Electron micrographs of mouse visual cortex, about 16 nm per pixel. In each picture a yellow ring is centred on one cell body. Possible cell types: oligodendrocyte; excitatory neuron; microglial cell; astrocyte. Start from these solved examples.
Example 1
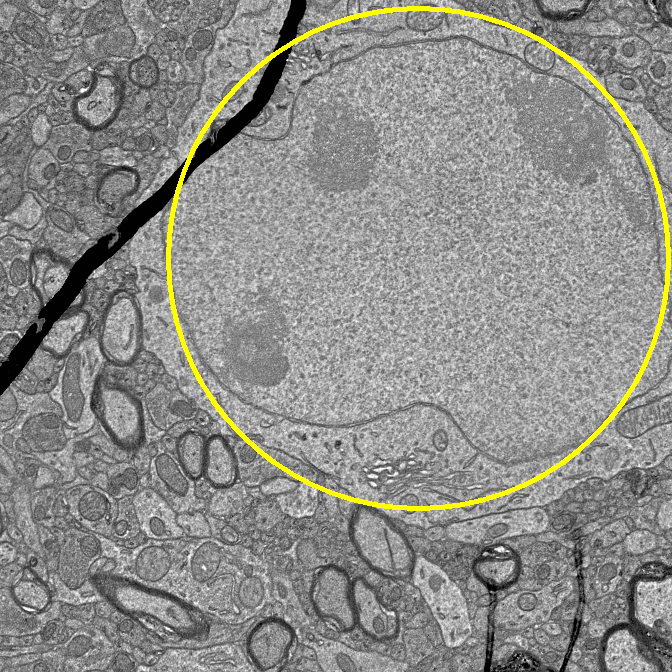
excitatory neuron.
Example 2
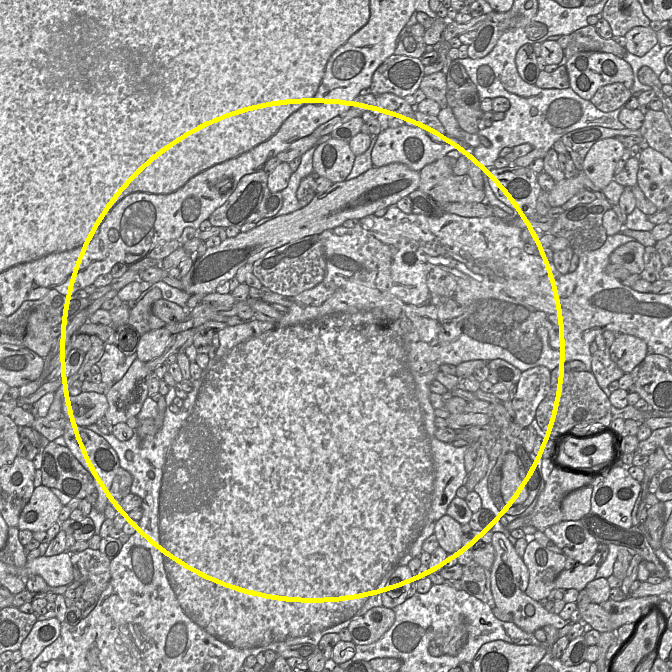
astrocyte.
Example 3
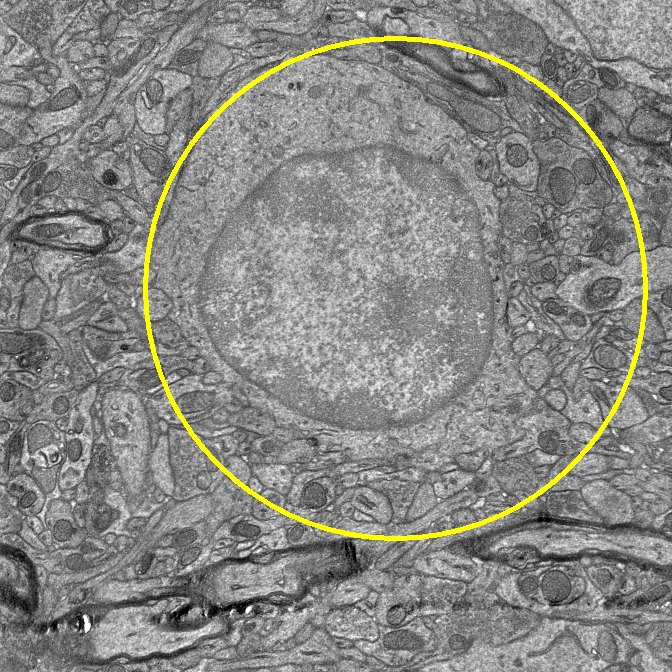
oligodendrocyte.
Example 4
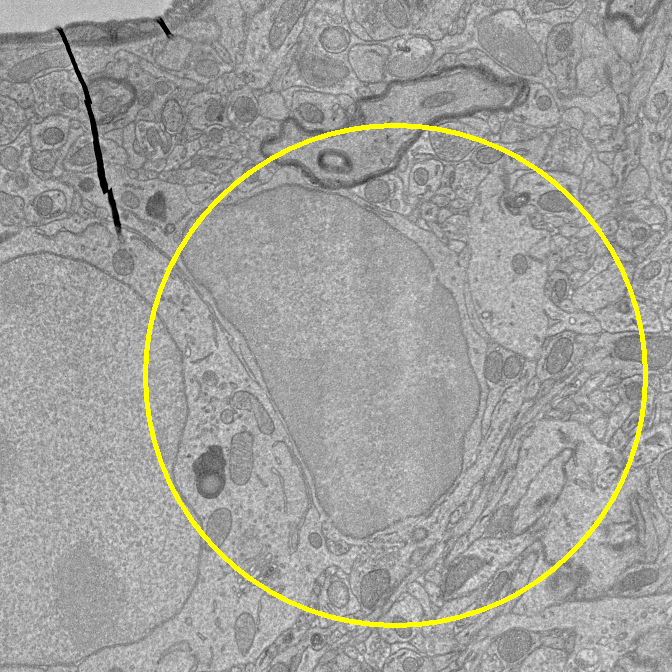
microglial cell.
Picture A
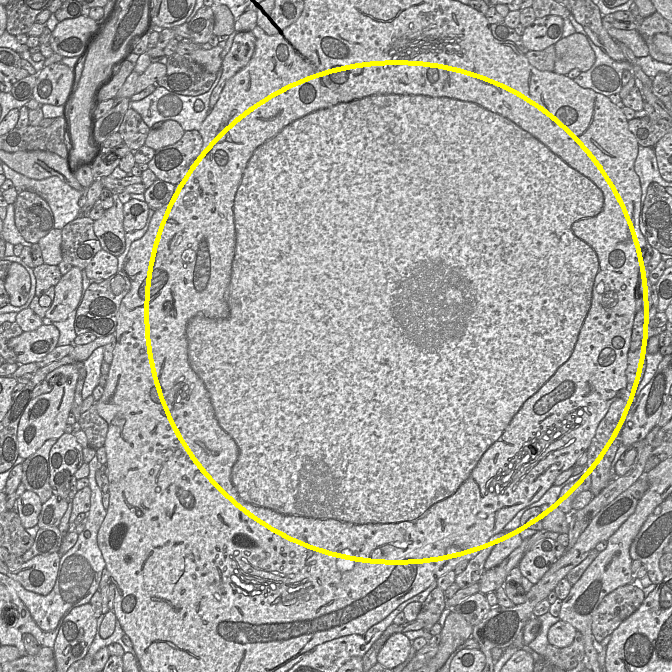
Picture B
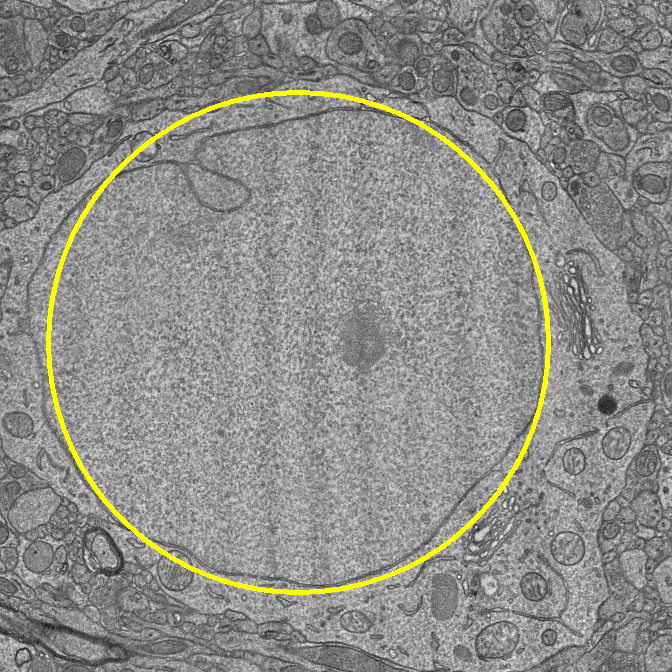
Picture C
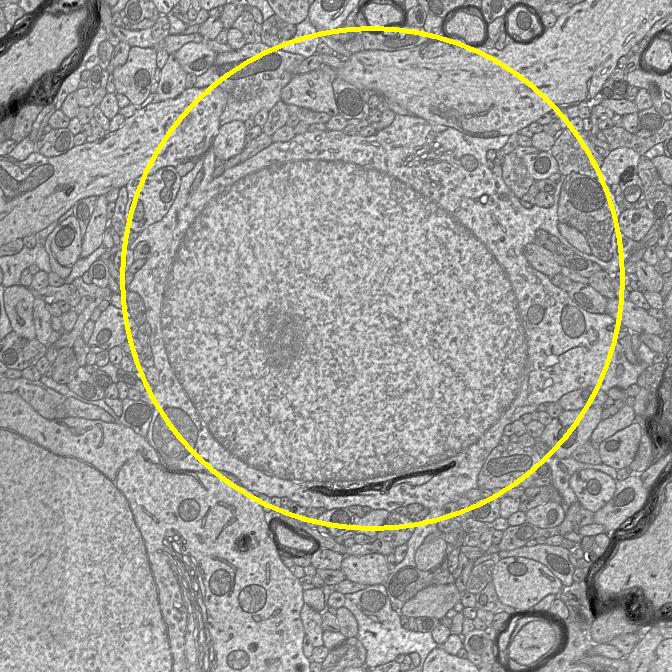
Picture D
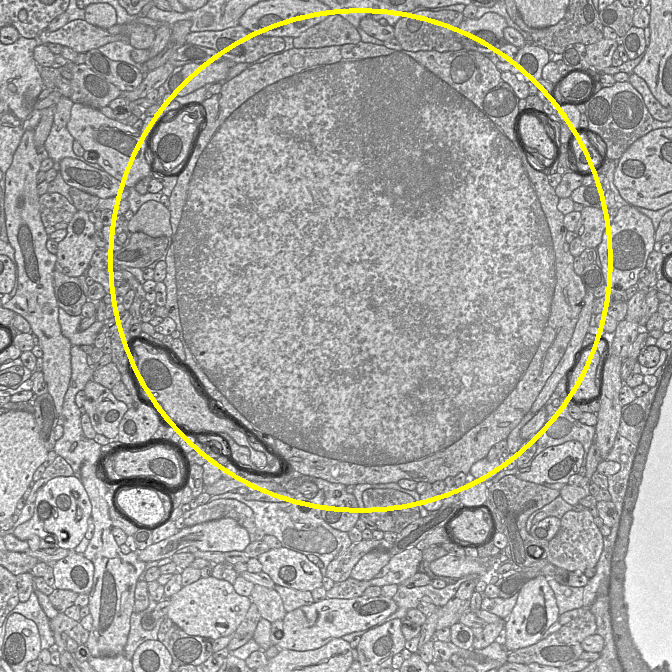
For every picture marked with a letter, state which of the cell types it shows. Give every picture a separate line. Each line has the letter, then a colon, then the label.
A: excitatory neuron.
B: excitatory neuron.
C: astrocyte.
D: oligodendrocyte.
